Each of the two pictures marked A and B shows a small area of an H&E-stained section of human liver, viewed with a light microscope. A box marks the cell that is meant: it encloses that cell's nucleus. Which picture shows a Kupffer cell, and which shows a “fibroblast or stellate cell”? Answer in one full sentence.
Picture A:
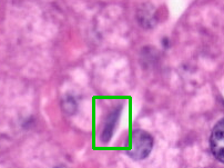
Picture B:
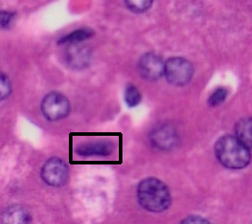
Picture A shows a Kupffer cell and picture B shows a “fibroblast or stellate cell”.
